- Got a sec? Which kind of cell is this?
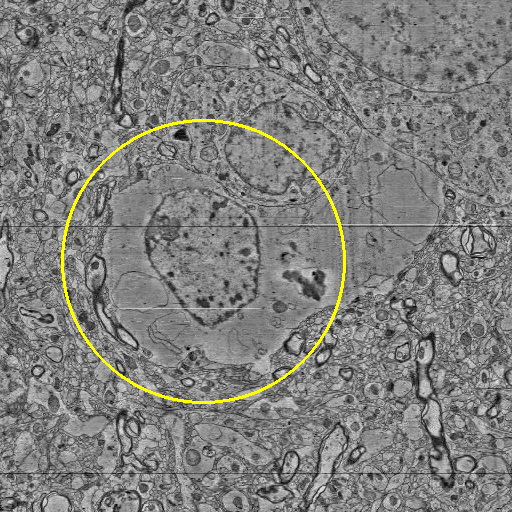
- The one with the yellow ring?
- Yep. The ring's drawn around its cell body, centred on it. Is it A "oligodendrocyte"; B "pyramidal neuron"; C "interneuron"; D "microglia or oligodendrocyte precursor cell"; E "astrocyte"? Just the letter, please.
E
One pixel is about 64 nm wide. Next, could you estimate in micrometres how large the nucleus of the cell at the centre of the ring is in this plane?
The nucleus is approximately 9 micrometers long by 7 micrometers wide in this plane.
